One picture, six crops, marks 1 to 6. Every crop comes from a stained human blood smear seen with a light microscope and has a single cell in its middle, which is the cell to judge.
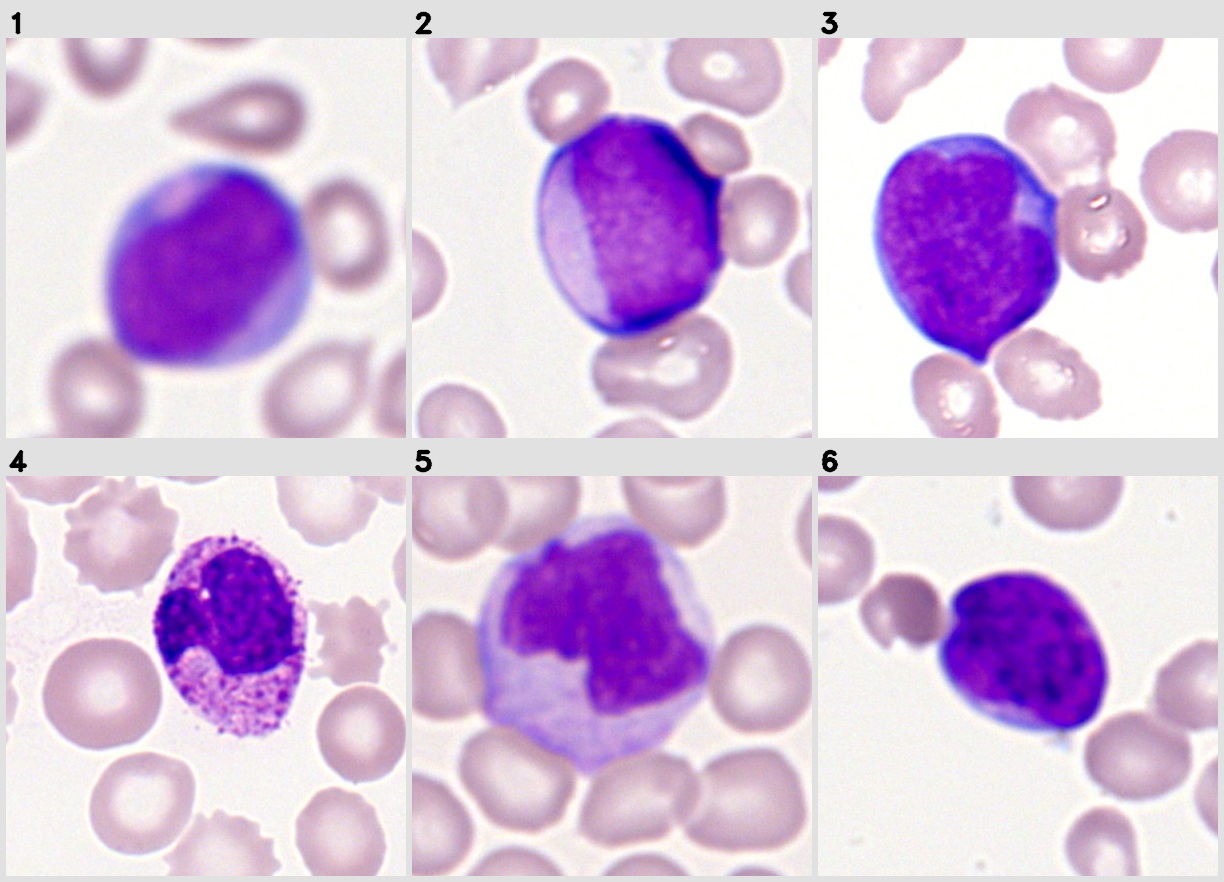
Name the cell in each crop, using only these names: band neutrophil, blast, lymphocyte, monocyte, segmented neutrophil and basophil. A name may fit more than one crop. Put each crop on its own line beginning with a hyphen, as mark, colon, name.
- 1: blast
- 2: blast
- 3: blast
- 4: basophil
- 5: monocyte
- 6: blast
